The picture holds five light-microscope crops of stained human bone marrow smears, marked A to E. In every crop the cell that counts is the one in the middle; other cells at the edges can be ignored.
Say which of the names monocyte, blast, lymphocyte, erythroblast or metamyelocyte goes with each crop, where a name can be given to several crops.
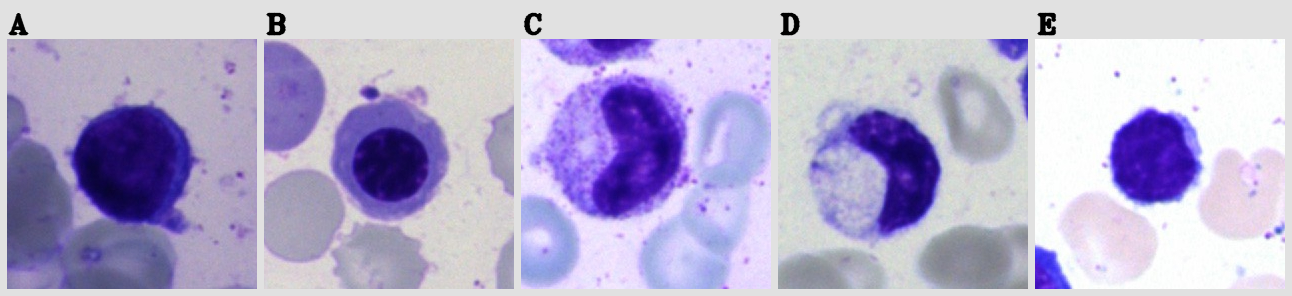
A: lymphocyte
B: erythroblast
C: metamyelocyte
D: monocyte
E: lymphocyte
